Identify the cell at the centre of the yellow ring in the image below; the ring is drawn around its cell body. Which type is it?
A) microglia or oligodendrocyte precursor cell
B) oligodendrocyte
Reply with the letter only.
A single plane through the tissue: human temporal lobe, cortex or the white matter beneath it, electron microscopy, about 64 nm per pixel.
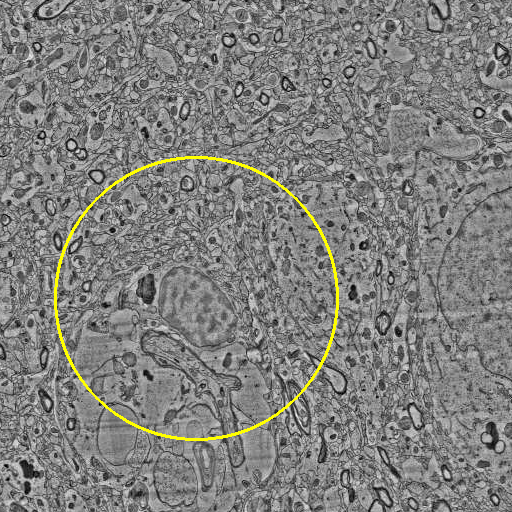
B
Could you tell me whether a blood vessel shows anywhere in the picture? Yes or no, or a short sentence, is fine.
Yes, one is visible.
